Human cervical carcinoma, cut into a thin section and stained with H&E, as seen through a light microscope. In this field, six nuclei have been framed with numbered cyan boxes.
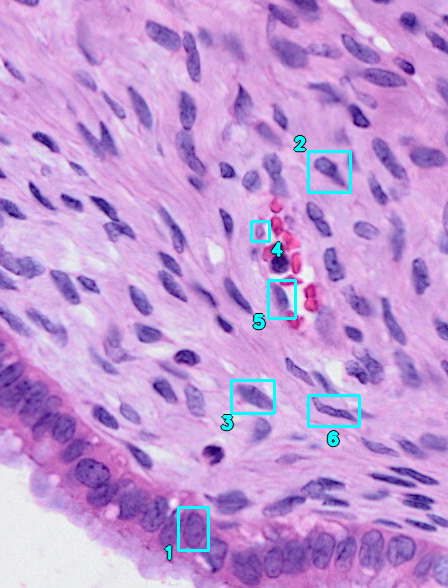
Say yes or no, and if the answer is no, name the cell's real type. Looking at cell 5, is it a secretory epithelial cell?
No, it is an endothelial cell.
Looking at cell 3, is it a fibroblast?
Yes.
